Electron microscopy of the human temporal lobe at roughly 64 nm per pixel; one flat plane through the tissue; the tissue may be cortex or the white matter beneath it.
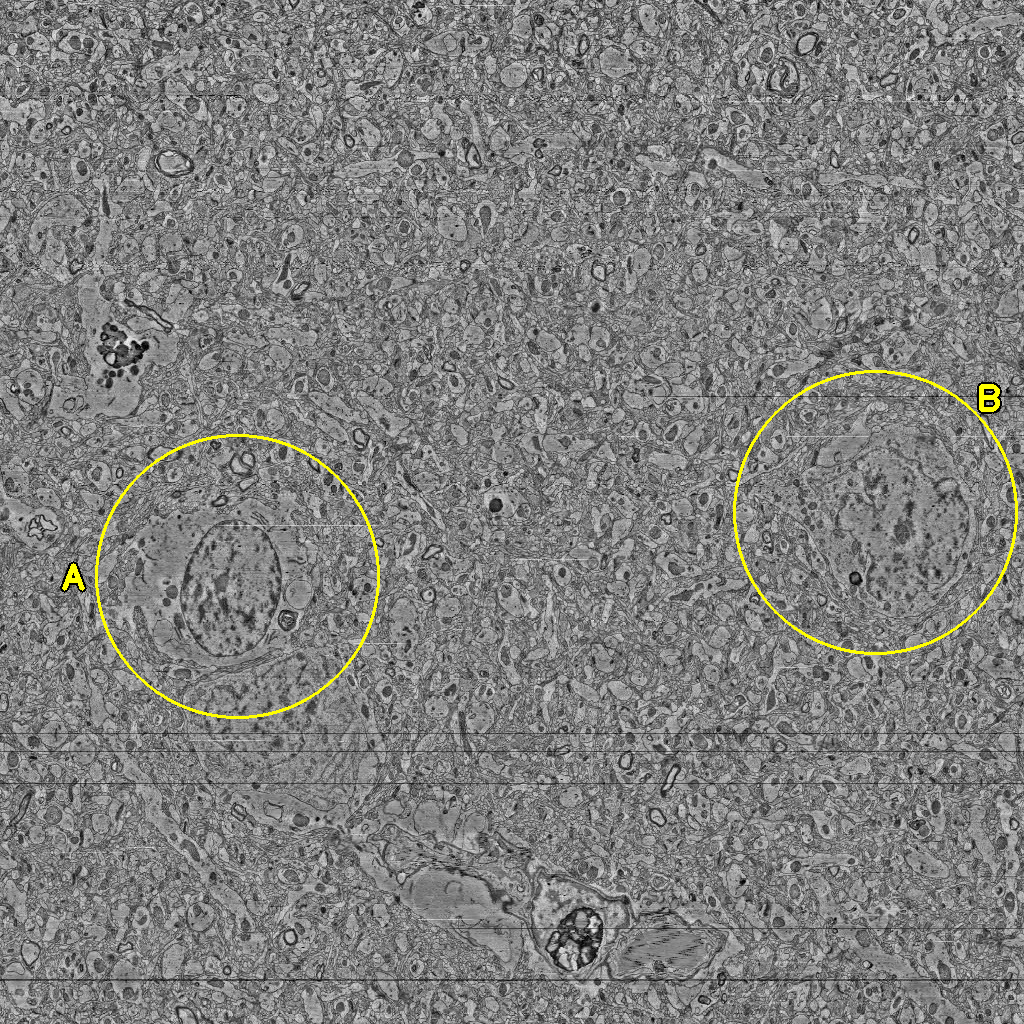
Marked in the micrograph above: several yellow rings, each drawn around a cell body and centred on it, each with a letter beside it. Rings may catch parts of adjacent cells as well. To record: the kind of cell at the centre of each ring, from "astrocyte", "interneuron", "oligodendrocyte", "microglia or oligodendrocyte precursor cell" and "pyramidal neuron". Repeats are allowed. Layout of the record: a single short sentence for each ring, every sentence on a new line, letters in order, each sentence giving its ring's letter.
At the centre of ring A lies an astrocyte.
At the centre of ring B lies an interneuron.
